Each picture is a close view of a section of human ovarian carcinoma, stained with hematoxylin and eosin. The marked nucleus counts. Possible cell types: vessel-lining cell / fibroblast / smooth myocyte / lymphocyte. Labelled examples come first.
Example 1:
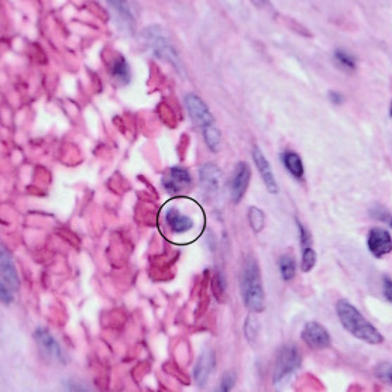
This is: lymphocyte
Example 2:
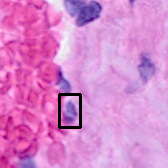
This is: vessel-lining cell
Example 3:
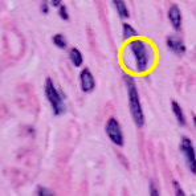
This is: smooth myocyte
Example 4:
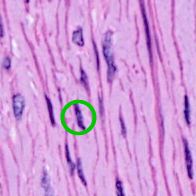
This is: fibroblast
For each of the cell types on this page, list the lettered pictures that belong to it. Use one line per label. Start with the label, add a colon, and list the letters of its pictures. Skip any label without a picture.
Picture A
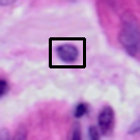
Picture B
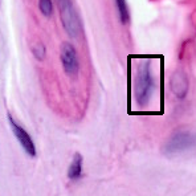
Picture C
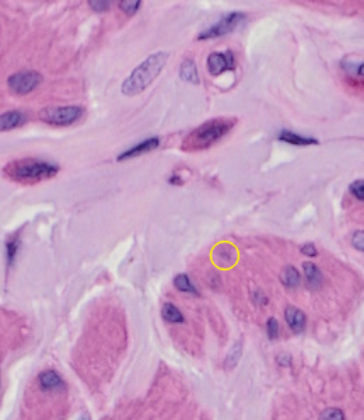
vessel-lining cell: B
smooth myocyte: C
lymphocyte: A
